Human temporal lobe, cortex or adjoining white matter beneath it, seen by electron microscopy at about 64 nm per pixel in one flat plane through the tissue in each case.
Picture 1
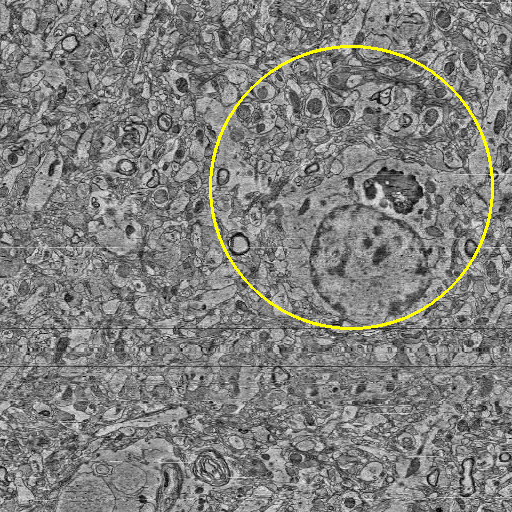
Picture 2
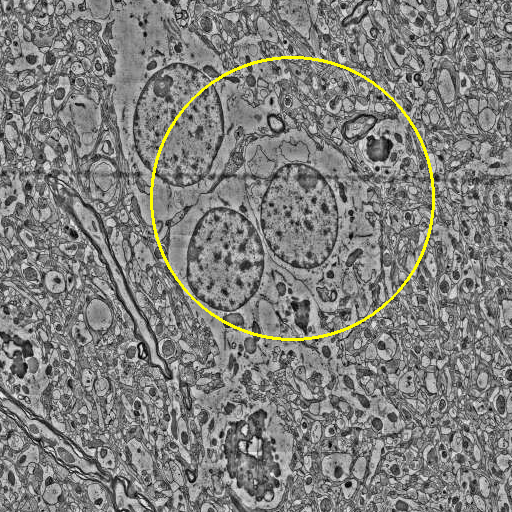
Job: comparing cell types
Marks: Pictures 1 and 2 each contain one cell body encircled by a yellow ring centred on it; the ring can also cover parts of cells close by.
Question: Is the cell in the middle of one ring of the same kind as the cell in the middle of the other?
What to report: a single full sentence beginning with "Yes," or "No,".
Yes, the cell at the ring centre in Picture 1 and its partner in Picture 2 are of one kind.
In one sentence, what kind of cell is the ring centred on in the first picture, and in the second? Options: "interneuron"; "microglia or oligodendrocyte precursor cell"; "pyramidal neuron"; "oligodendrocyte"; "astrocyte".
In each picture the ringed cell is an astrocyte.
